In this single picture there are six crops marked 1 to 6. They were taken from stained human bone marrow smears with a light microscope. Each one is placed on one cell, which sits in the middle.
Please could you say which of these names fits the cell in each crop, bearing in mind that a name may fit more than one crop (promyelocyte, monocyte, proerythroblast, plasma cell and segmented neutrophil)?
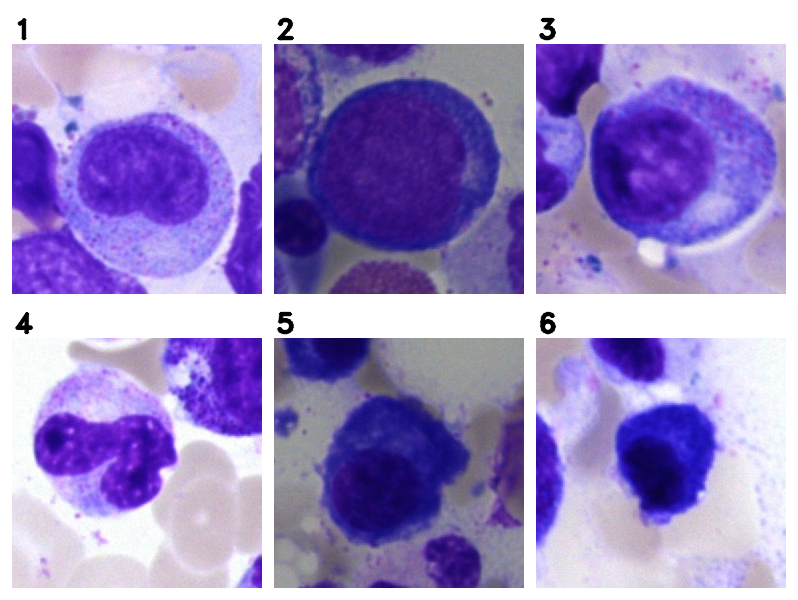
1: promyelocyte
2: proerythroblast
3: promyelocyte
4: segmented neutrophil
5: plasma cell
6: plasma cell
